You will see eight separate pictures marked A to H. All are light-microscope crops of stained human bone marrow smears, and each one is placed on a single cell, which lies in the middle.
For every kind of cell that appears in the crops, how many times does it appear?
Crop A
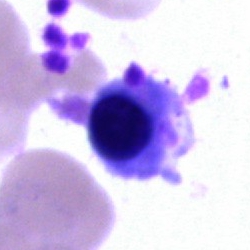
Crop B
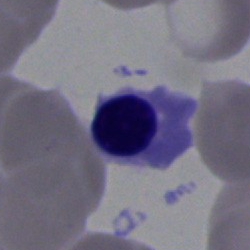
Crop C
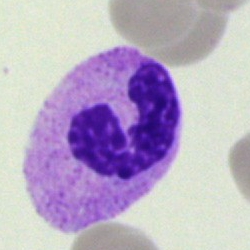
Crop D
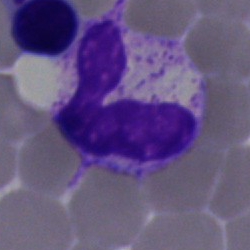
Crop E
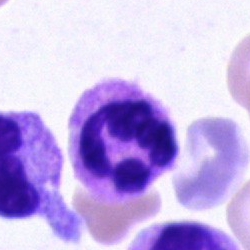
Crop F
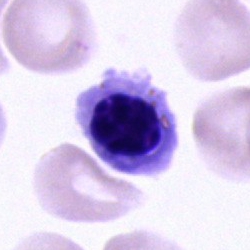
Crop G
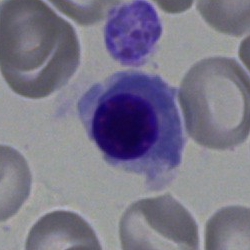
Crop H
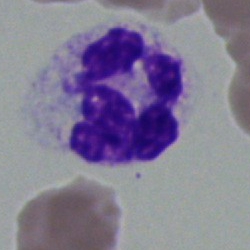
normoblast: 4
neutrophil: 4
